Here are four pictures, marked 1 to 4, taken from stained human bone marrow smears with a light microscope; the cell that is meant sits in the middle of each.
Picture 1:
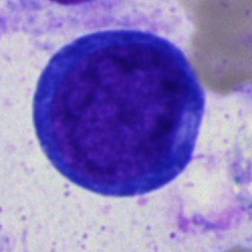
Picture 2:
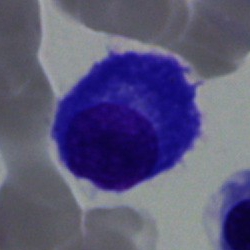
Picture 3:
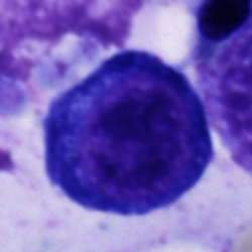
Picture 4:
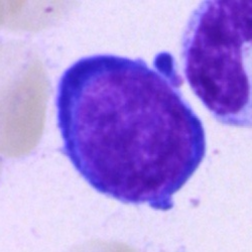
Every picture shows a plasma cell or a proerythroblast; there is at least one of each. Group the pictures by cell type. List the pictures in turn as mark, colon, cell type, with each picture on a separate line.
1: proerythroblast
2: plasma cell
3: proerythroblast
4: proerythroblast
